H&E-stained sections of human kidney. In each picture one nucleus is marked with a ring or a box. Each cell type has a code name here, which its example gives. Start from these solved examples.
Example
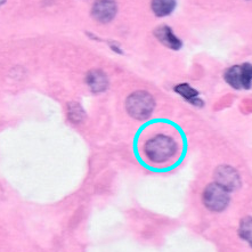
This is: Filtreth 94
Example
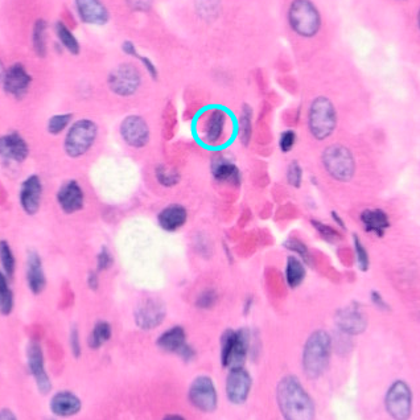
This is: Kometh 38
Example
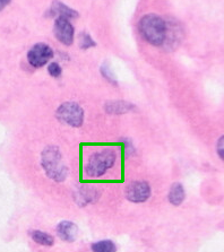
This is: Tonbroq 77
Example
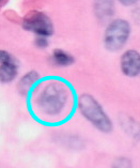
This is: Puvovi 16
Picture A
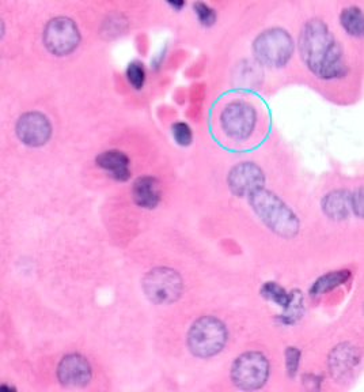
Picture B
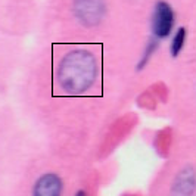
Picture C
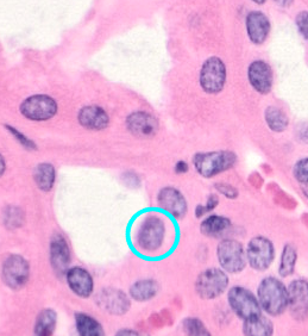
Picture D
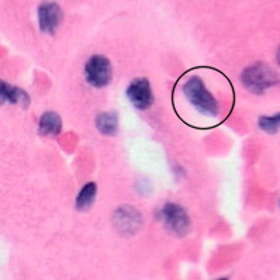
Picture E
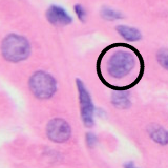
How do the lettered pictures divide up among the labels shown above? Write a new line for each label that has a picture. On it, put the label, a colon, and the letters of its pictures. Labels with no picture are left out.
Filtreth 94: B
Kometh 38: D
Puvovi 16: A, C, E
